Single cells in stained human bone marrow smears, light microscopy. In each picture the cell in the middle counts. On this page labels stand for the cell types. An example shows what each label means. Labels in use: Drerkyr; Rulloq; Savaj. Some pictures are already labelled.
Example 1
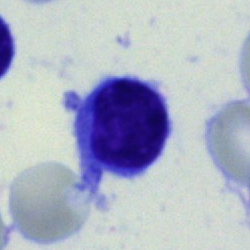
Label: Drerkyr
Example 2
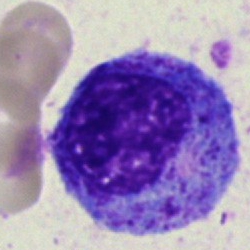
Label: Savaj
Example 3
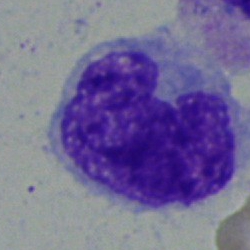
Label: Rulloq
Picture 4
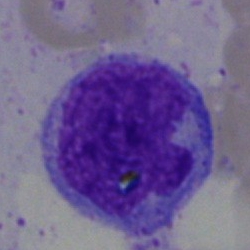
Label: Rulloq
